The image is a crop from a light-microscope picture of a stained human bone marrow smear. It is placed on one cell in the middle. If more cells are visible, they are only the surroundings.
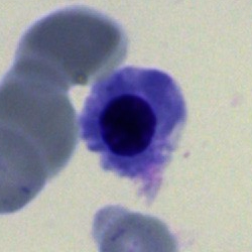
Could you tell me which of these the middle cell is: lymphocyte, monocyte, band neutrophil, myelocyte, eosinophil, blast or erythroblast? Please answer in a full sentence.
The middle position in this crop is taken by an erythroblast.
